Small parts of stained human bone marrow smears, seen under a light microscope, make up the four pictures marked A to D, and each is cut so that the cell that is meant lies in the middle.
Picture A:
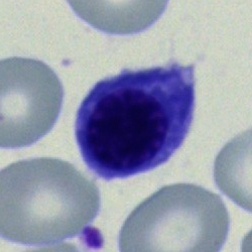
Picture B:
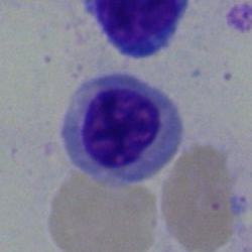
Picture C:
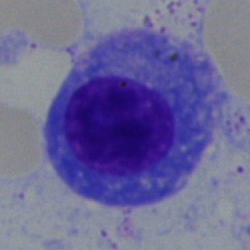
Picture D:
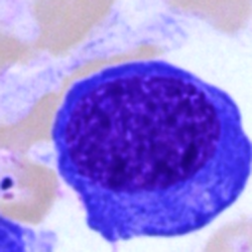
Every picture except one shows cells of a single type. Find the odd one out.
C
